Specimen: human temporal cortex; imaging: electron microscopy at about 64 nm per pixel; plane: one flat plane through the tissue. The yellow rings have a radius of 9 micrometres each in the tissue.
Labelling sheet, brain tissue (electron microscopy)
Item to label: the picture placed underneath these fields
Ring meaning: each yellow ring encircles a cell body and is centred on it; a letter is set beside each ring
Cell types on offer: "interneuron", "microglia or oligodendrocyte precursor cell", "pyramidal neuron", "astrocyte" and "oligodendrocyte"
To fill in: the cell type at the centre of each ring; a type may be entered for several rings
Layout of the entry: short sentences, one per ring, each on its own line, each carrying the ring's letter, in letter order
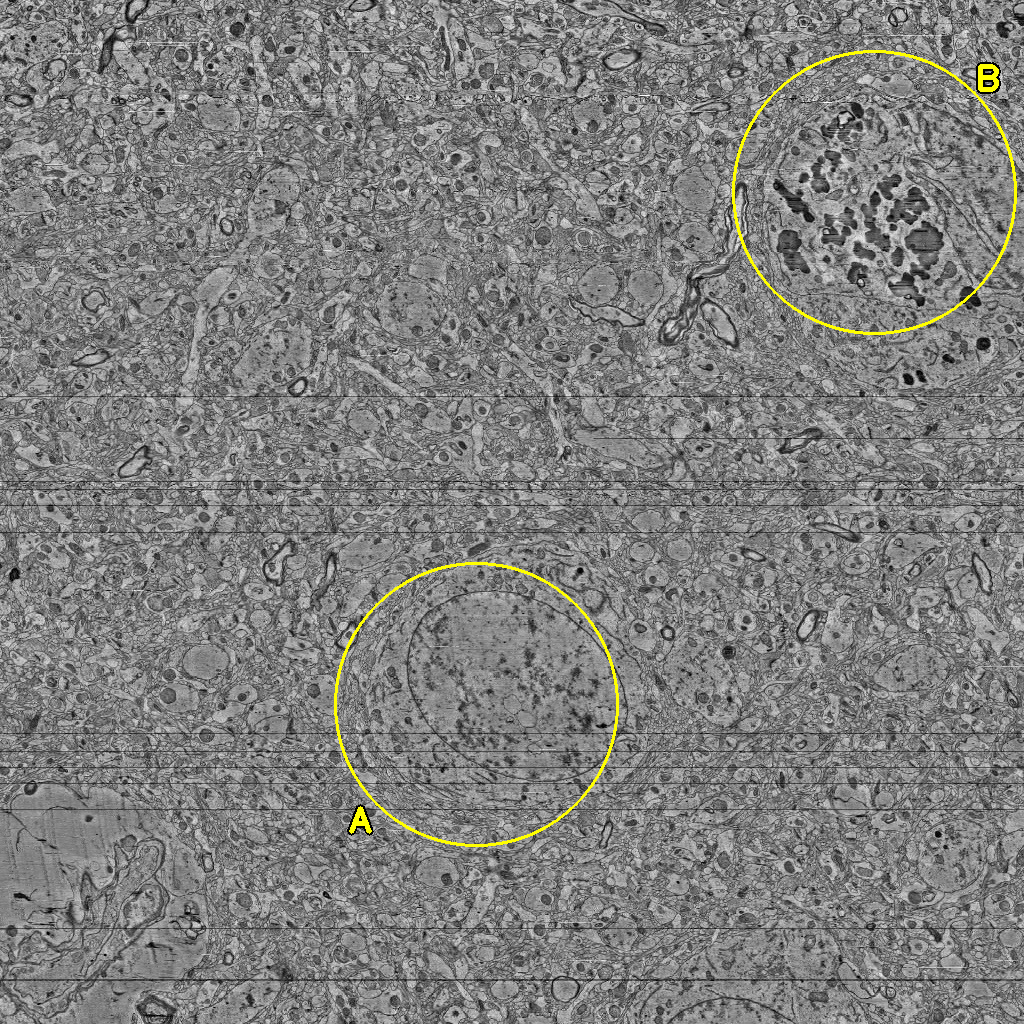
Ring A encircles the body of a pyramidal neuron.
Ring B encircles the body of an interneuron.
